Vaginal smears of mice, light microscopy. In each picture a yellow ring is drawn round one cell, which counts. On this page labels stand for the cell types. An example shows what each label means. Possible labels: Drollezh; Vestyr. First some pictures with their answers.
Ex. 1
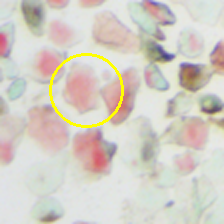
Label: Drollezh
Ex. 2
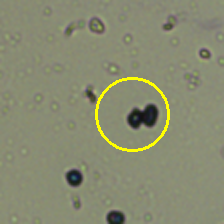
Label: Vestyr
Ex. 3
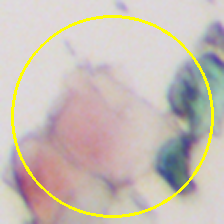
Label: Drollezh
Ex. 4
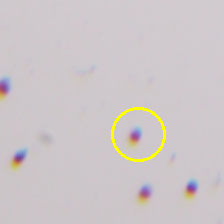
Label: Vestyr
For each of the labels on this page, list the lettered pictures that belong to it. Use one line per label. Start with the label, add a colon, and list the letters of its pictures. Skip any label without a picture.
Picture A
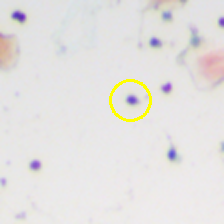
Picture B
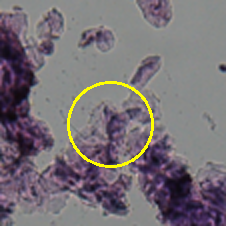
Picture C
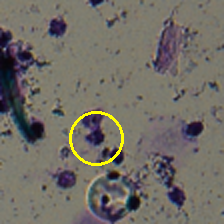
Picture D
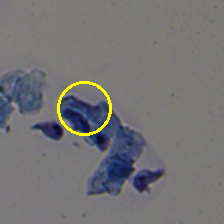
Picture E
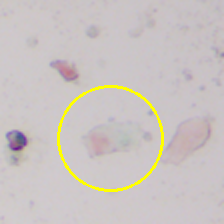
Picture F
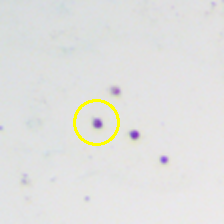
Drollezh: B, D, E
Vestyr: A, C, F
